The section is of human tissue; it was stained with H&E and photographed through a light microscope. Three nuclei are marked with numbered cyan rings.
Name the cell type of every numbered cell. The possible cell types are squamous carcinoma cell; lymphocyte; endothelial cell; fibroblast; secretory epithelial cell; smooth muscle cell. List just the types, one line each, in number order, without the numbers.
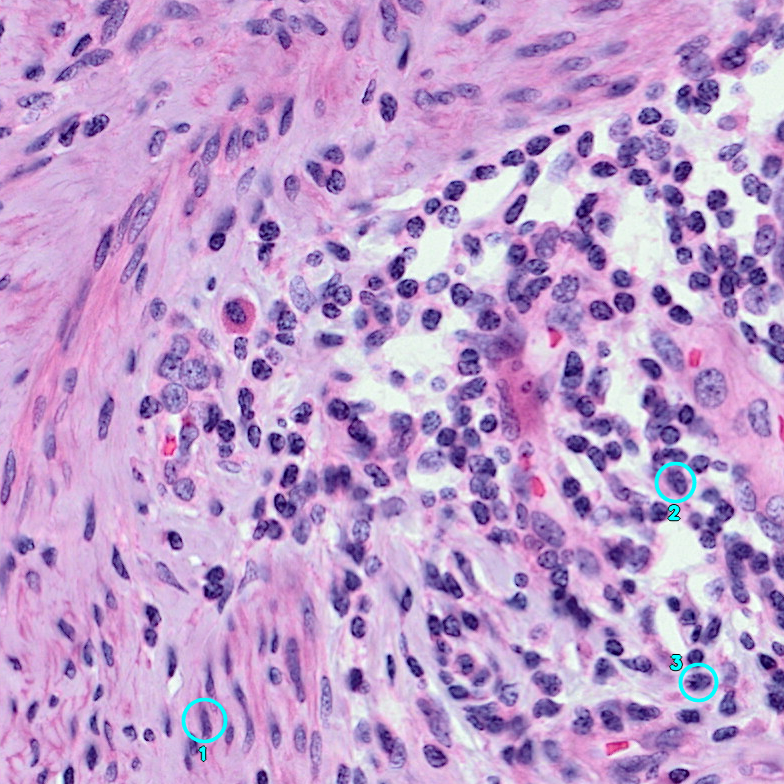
smooth muscle cell
lymphocyte
lymphocyte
